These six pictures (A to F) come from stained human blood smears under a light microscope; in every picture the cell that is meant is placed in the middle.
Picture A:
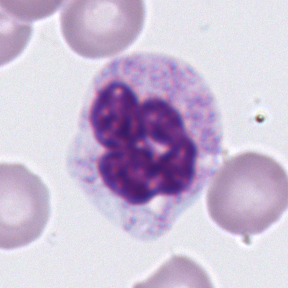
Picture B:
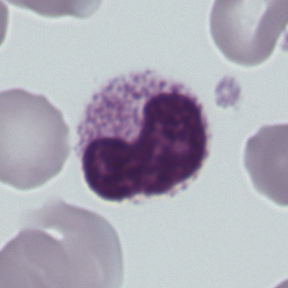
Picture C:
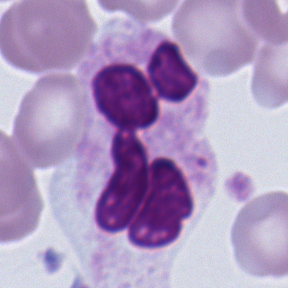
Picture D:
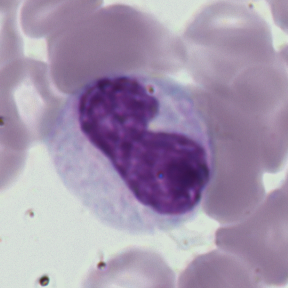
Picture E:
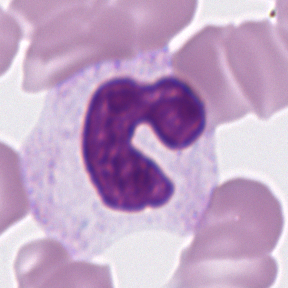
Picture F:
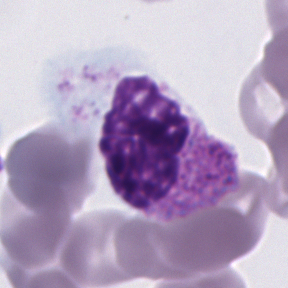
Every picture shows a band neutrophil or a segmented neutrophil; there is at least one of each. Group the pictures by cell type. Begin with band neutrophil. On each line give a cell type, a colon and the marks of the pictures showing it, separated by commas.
band neutrophil: B, D, E
segmented neutrophil: A, C, F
